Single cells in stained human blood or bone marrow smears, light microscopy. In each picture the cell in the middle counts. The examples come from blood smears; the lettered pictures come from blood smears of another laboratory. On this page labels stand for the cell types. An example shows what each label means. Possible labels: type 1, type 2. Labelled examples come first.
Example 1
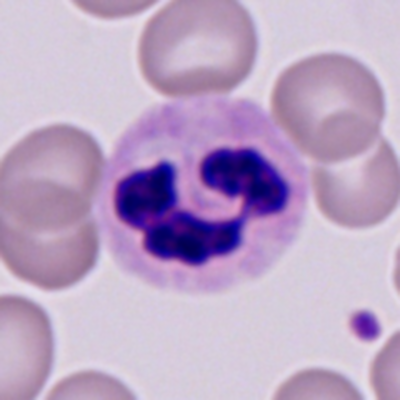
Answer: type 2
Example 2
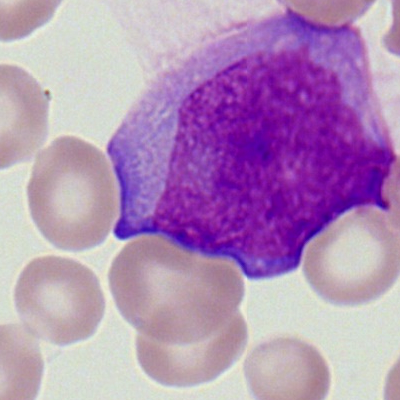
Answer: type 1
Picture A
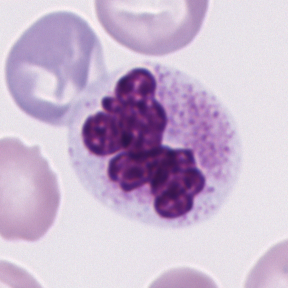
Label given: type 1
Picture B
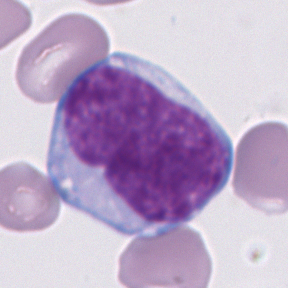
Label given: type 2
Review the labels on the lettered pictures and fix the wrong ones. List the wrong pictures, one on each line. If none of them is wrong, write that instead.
A: type 2, not type 1
B: type 1, not type 2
